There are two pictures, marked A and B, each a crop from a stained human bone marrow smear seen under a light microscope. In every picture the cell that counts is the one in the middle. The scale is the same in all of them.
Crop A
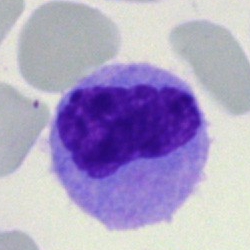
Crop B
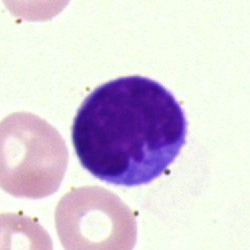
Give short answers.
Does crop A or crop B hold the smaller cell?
B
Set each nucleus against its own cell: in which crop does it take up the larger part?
B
